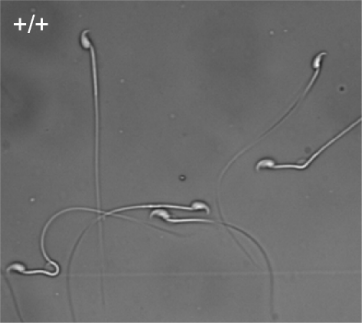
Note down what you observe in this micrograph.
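Mouse spermatozoa are seen in phase contrast, each with a small falcate, hook-shaped head and a long slender tail. The heads are joined to their tails, and the tails curve and cross one another across the field. A thicker portion of the tail is visible next to the head, tapering into the thin distal part. The background is clear, with only a few small particles.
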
